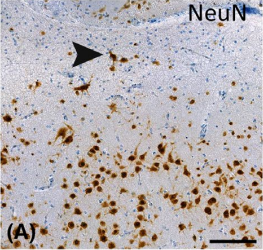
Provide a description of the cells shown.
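Neocortex with many neurons whose nuclei and cell bodies are stained brown against a pale blue background. Neurons are densely packed in the lower part of the field, with some pyramidal-shaped cell bodies and short brown processes. Toward the top, the superficial zone is sparser, yet scattered brown-stained neurons still lie within it. Small blue nuclei of unstained cells lie between them.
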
